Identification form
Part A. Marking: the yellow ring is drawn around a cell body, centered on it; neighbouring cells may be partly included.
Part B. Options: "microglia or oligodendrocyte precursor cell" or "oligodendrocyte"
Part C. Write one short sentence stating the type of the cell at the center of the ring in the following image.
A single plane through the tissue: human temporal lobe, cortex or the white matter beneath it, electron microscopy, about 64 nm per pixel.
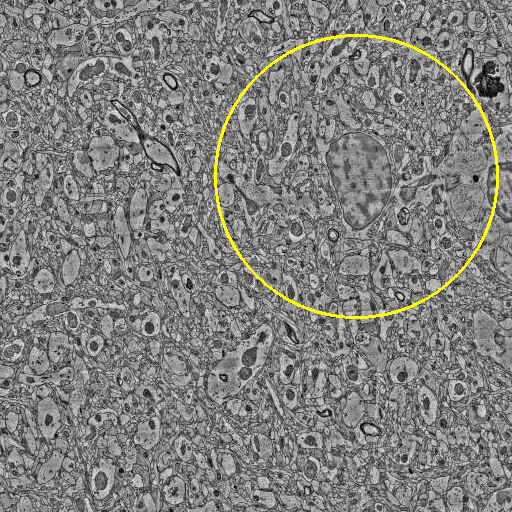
The center of the ring holds a microglial cell or oligodendrocyte precursor cell.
